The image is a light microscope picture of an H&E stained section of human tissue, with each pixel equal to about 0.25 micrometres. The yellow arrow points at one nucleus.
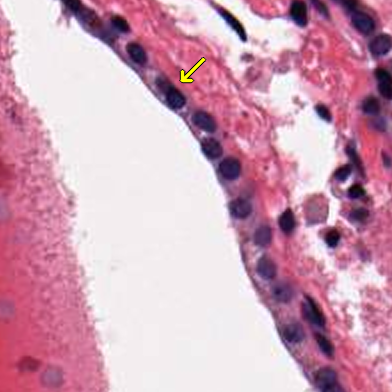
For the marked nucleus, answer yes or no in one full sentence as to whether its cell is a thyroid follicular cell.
Yes, the nucleus indicated by the marking belongs to a thyroid follicular cell.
